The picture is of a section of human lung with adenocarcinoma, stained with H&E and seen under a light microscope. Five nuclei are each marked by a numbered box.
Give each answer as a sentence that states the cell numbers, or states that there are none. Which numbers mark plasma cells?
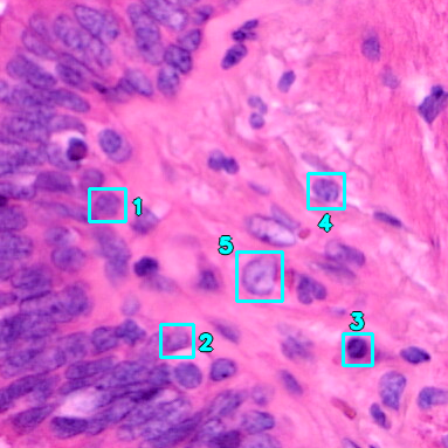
Only the cell with the number 3 is a plasma cell.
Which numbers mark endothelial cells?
Cell 5 is an endothelial cell, while all remaining marked cells are of other types.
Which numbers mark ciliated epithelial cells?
The cells the numbers 1 and 2 point to are ciliated epithelial cells.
